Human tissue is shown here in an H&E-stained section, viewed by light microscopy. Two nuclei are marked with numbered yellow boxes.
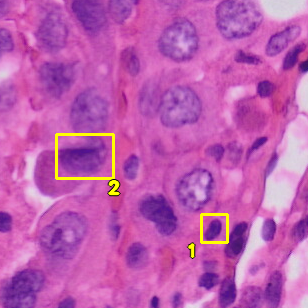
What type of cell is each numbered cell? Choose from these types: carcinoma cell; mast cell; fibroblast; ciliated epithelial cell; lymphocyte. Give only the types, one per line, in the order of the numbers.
lymphocyte
carcinoma cell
